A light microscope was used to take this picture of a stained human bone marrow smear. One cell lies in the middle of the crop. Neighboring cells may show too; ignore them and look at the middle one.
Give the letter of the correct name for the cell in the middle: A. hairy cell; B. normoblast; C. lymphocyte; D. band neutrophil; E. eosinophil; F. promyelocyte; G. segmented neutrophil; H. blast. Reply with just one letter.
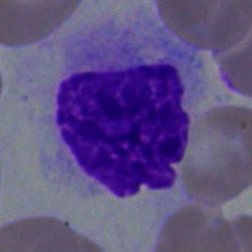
A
